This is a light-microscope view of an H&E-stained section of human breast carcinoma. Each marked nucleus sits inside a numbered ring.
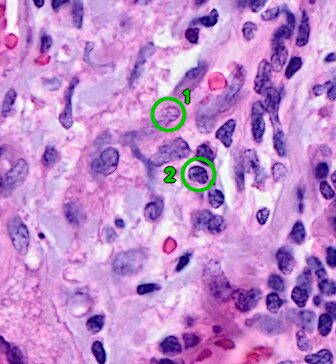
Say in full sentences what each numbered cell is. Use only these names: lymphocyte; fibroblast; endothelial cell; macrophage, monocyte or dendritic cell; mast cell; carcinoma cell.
Cell 1 is an endothelial cell and cell 2 is a lymphocyte.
